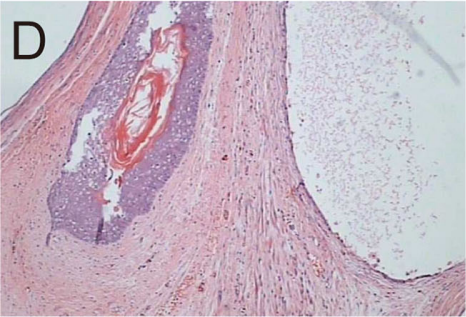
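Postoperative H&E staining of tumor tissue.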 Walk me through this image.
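This section shows a hair follicle-like structure embedded in fibrous tissue. Around the nest the stroma is pink and fibrous with spindle-shaped cells arranged in streams. To the right, a large space bounded by a fibrous wall contains loose pale pink material.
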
